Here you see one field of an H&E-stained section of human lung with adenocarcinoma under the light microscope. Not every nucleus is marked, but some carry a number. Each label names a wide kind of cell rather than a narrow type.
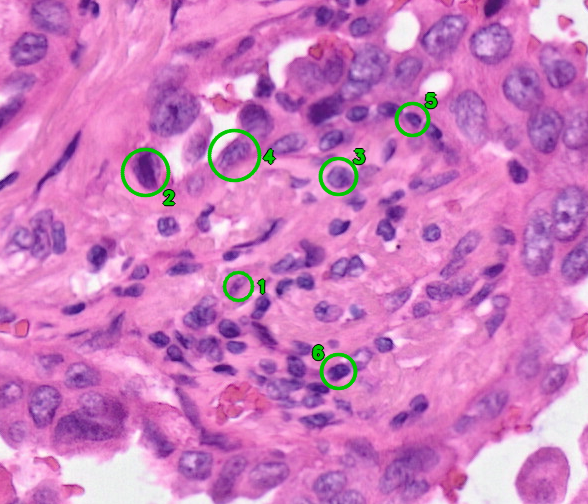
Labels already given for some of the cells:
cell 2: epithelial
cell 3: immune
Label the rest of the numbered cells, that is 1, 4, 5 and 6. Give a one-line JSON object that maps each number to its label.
{"1": "immune", "4": "epithelial", "5": "immune", "6": "immune"}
